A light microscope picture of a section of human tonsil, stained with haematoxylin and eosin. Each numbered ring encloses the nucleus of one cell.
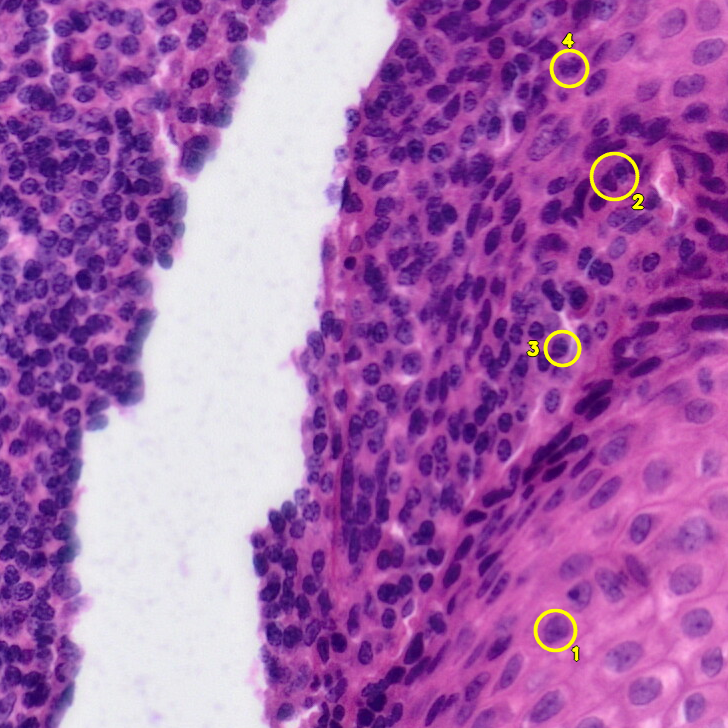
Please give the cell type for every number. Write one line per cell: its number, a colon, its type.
1: squamous epithelial cell
2: squamous epithelial cell
3: plasma cell
4: squamous epithelial cell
